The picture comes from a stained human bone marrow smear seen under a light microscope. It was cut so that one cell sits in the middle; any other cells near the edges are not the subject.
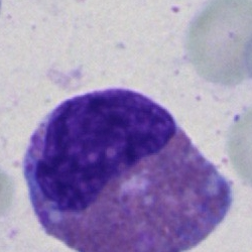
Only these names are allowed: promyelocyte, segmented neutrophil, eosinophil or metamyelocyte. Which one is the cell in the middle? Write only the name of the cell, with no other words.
eosinophil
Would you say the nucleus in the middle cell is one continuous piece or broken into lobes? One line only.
Between us, the nucleus here is just one compact mass, round, oval or kidney-shaped.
